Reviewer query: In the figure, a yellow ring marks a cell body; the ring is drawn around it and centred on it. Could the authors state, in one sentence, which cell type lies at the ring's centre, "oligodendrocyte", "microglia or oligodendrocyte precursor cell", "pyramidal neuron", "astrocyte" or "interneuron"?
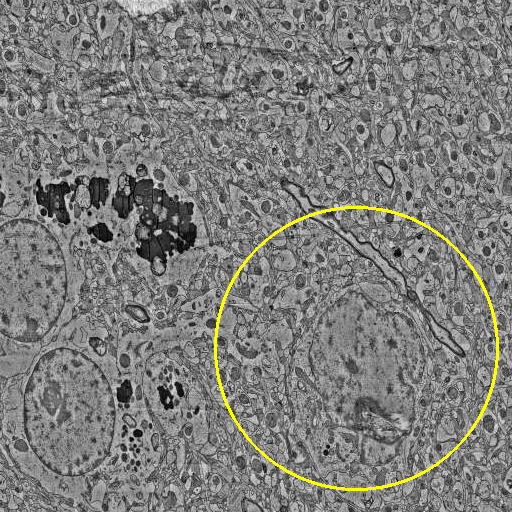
The ring is centred on an interneuron.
